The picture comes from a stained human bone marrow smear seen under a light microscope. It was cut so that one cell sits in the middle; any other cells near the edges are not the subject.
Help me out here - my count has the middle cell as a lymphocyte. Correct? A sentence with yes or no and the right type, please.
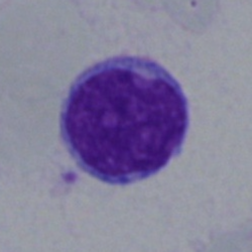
Yes, the cell in the middle has the identity of a lymphocyte.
